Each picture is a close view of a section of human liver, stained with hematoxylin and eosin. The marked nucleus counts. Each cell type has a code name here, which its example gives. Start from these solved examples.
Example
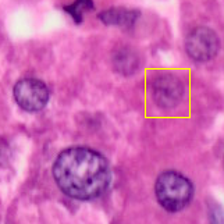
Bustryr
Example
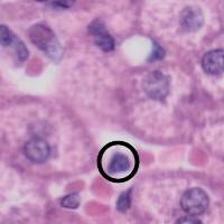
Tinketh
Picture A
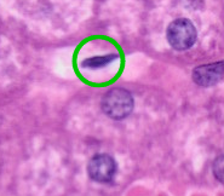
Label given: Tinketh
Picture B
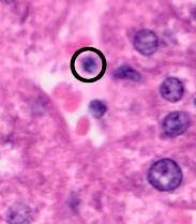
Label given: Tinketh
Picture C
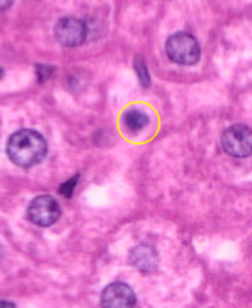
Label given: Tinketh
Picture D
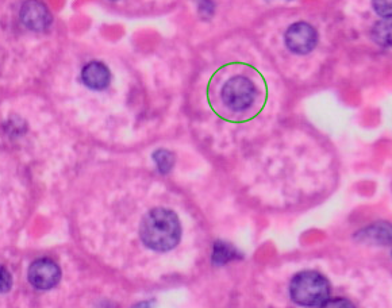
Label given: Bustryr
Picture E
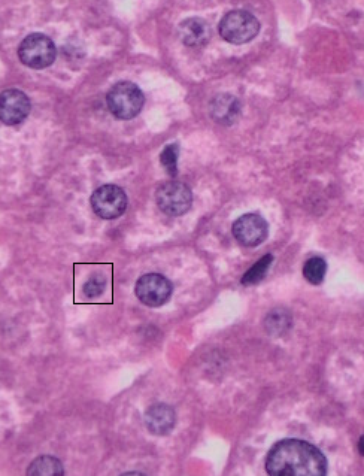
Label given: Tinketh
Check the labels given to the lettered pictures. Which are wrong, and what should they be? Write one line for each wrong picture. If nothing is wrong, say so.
Every label is right.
